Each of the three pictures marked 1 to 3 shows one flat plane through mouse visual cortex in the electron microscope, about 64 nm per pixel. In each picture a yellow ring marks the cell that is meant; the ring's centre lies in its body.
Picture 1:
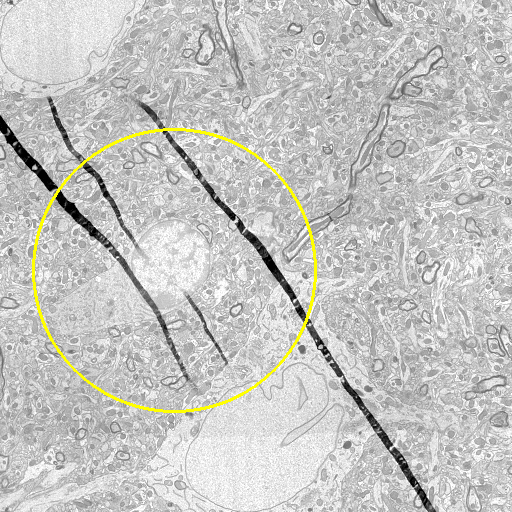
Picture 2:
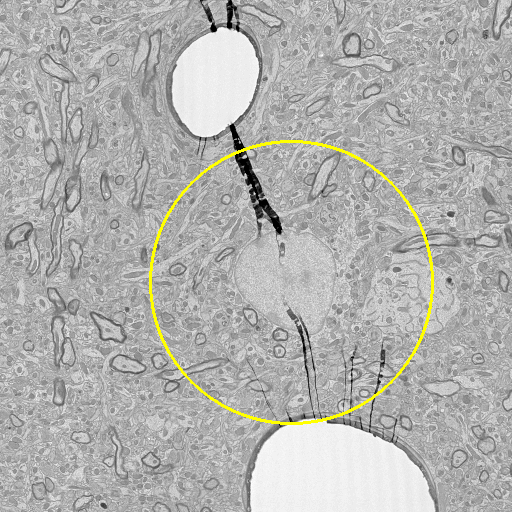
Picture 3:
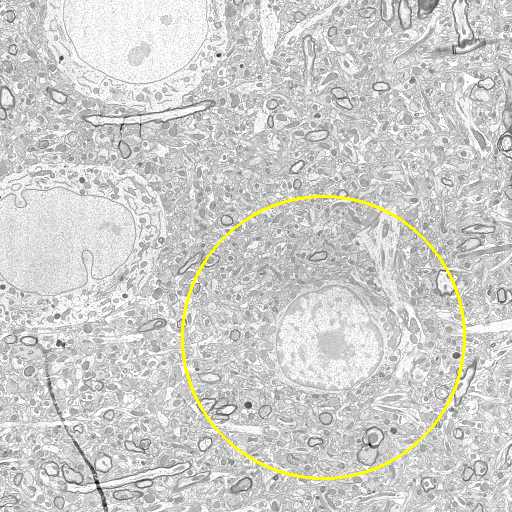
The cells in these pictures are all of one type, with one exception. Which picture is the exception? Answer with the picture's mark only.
2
